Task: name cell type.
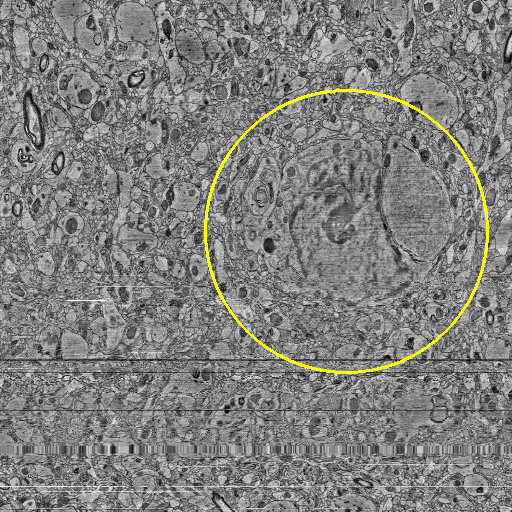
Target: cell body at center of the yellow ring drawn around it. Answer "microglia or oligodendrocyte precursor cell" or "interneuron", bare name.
interneuron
